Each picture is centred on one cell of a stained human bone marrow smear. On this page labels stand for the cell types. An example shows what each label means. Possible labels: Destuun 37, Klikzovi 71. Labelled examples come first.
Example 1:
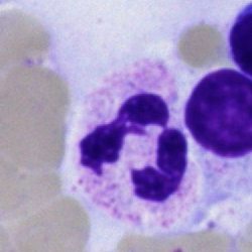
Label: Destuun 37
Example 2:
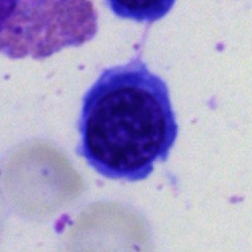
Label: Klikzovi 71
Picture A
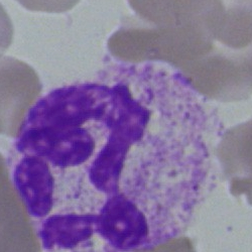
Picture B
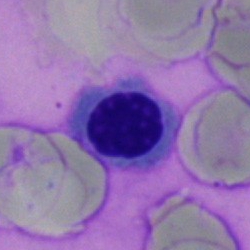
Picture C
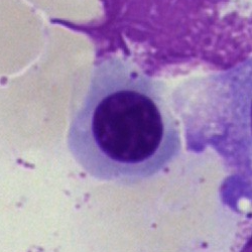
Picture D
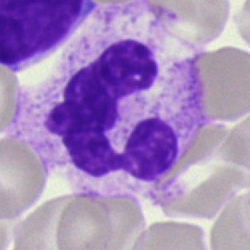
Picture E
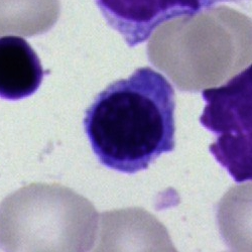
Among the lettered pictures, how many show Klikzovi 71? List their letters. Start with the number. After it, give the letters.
Count: 3 (B, C, E)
